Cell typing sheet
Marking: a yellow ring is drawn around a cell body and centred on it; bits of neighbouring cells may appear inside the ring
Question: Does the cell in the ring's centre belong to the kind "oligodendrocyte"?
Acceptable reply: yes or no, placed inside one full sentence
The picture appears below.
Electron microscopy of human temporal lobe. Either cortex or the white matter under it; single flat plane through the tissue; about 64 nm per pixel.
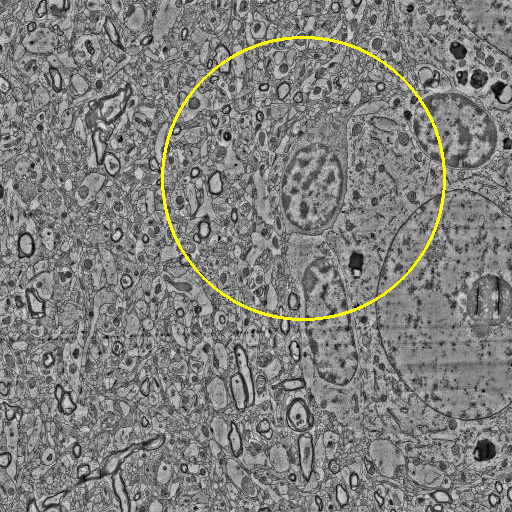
Yes, the cell in the centre of the ring is of the kind asked about.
